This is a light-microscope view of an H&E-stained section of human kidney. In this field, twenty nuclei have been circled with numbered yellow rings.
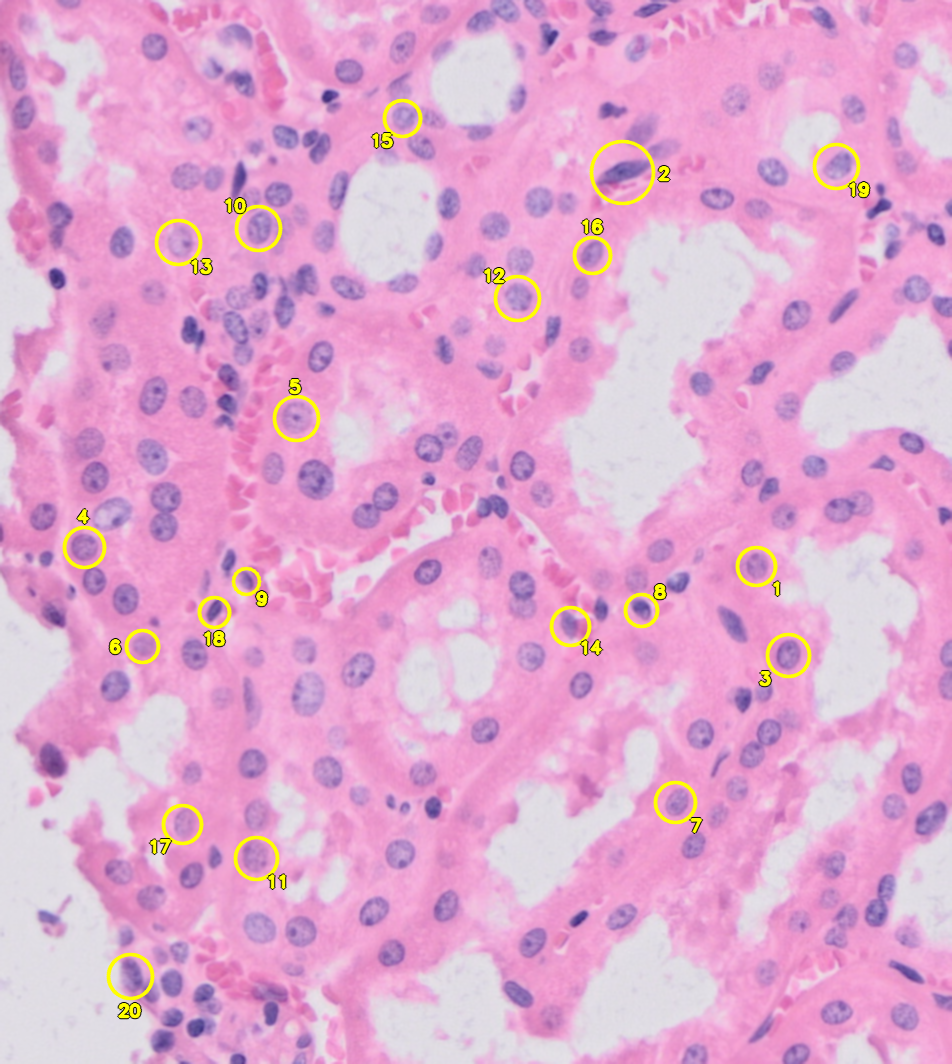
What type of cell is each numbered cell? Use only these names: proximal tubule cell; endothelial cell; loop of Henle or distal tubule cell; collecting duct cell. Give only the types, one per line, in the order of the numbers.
proximal tubule cell
endothelial cell
proximal tubule cell
proximal tubule cell
proximal tubule cell
proximal tubule cell
proximal tubule cell
endothelial cell
endothelial cell
collecting duct cell
proximal tubule cell
loop of Henle or distal tubule cell
proximal tubule cell
endothelial cell
collecting duct cell
proximal tubule cell
proximal tubule cell
endothelial cell
loop of Henle or distal tubule cell
collecting duct cell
